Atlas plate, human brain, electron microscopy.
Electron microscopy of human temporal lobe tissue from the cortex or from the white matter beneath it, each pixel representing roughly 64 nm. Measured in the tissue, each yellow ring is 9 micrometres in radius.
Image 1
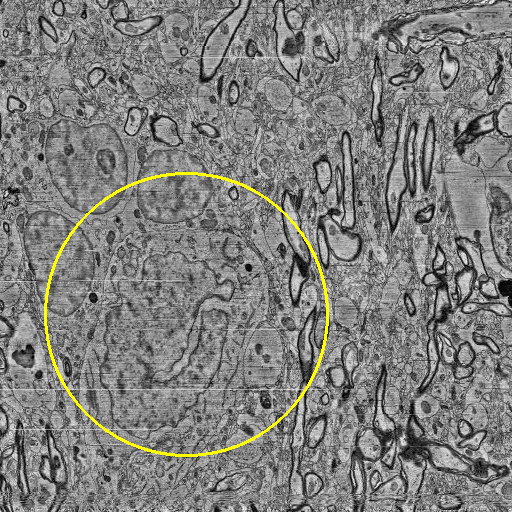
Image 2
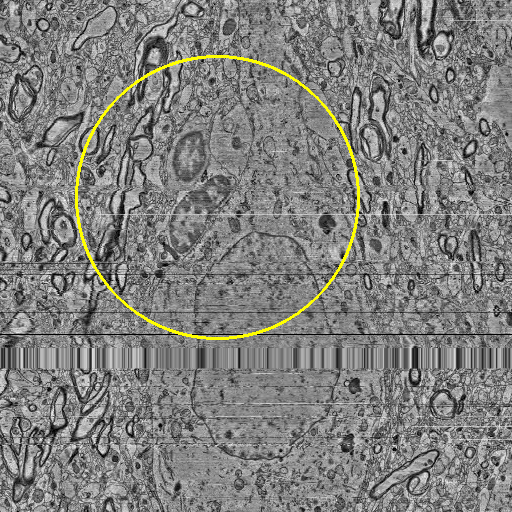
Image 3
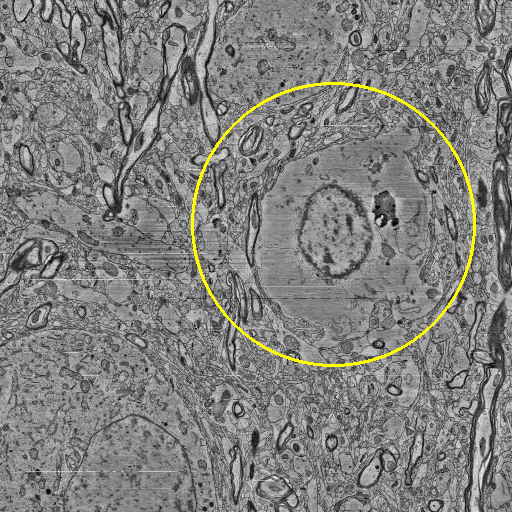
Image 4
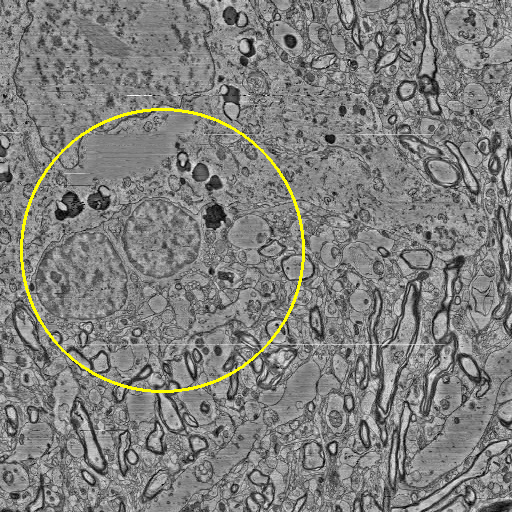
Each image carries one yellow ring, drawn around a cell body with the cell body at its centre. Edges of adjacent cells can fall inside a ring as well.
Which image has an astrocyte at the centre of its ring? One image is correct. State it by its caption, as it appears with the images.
Image 3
